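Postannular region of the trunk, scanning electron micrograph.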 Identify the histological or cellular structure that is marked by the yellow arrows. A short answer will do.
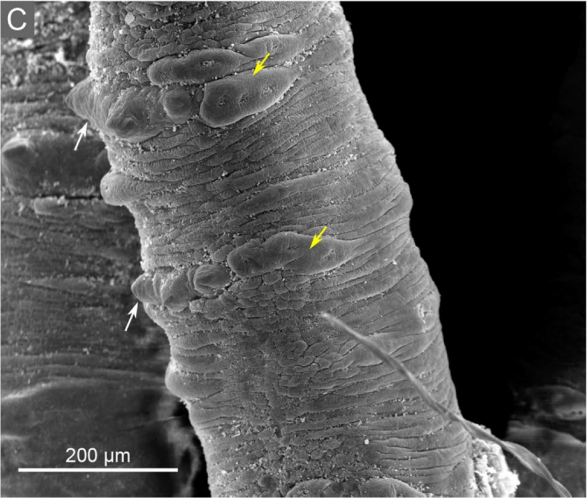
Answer: ventral glandular shields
